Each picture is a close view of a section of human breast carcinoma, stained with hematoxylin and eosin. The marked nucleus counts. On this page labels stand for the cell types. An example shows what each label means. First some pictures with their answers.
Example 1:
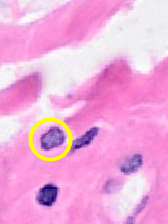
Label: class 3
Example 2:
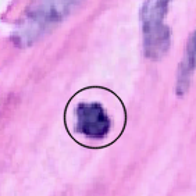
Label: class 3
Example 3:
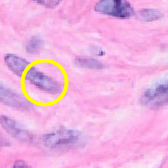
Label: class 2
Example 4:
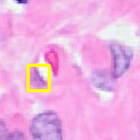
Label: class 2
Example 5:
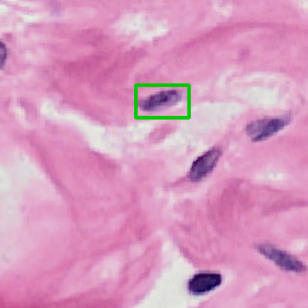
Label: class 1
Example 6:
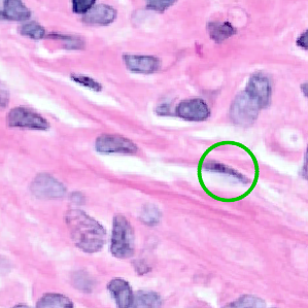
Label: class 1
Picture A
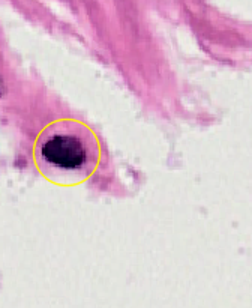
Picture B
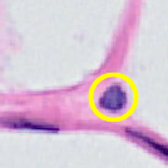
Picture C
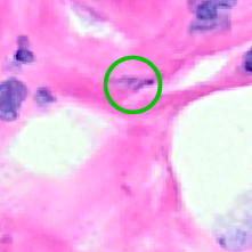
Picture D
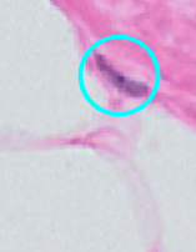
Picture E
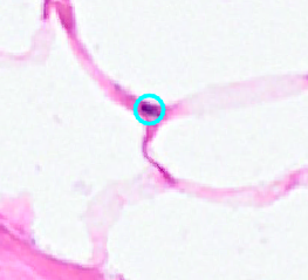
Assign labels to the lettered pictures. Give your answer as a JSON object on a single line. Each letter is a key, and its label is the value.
{"A": "class 3", "B": "class 3", "C": "class 1", "D": "class 1", "E": "class 2"}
